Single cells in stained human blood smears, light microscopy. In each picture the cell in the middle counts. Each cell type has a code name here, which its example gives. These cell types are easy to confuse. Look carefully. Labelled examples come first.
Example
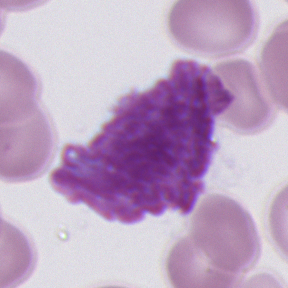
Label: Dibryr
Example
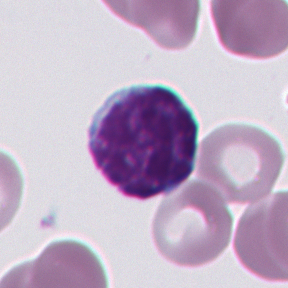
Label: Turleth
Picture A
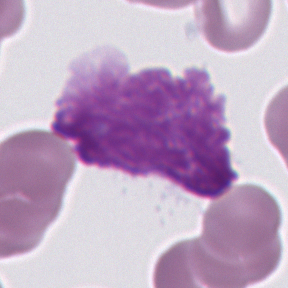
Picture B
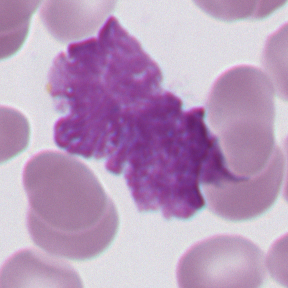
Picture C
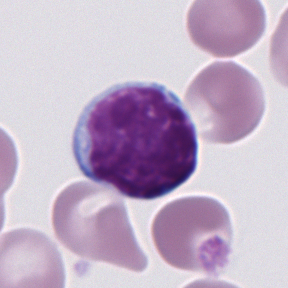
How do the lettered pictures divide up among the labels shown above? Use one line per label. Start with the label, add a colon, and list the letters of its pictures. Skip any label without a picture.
Dibryr: A, B
Turleth: C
